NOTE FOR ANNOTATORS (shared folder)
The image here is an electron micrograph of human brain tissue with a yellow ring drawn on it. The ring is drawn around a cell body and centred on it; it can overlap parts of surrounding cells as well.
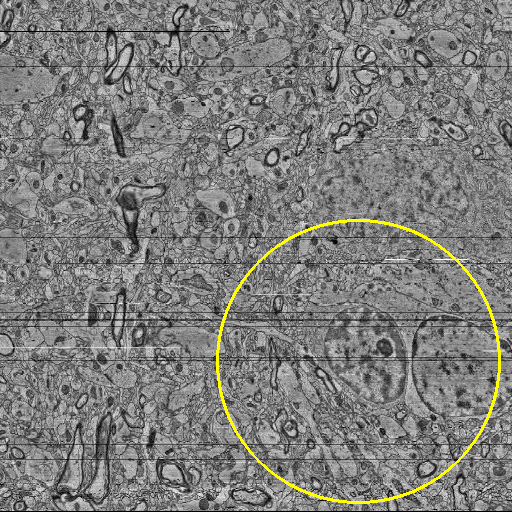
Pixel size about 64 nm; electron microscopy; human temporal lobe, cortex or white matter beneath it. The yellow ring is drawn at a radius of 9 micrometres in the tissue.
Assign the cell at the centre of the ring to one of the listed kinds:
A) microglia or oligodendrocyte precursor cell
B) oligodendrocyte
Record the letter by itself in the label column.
B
